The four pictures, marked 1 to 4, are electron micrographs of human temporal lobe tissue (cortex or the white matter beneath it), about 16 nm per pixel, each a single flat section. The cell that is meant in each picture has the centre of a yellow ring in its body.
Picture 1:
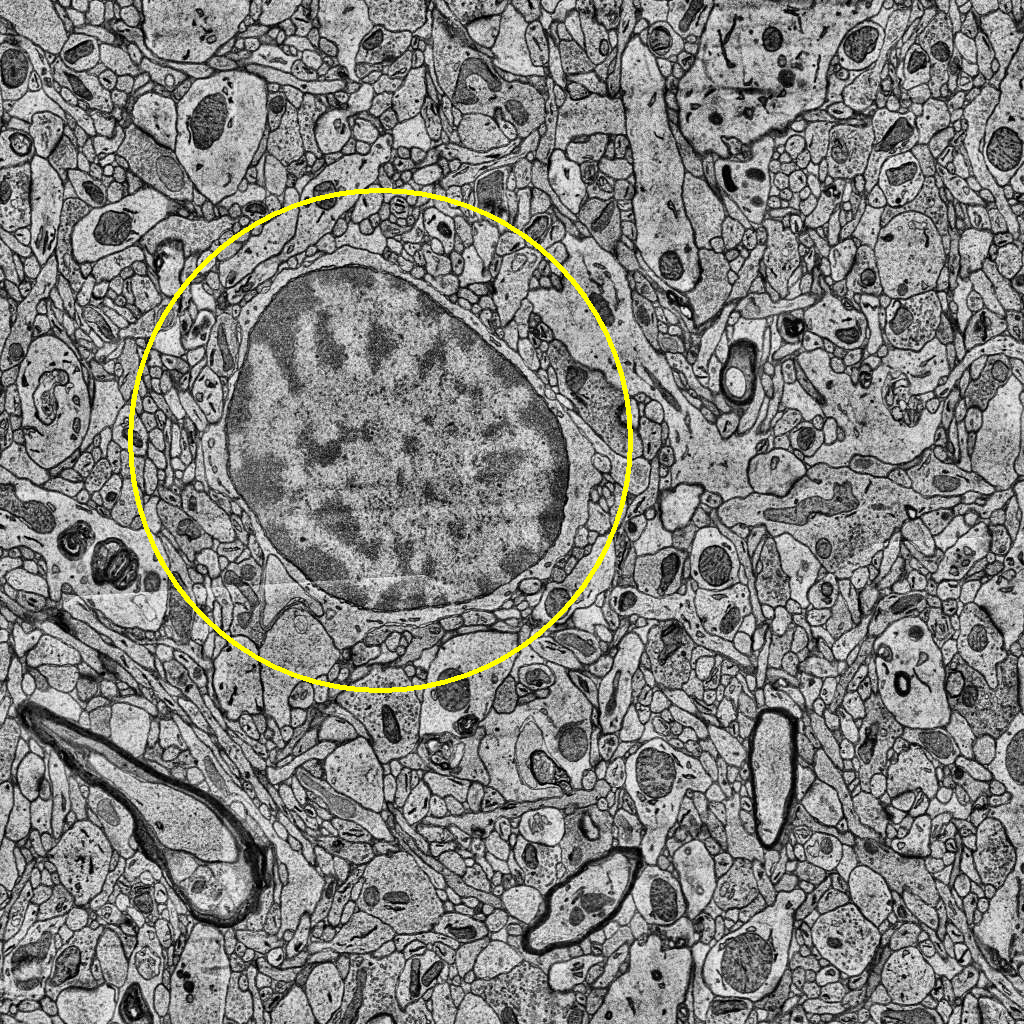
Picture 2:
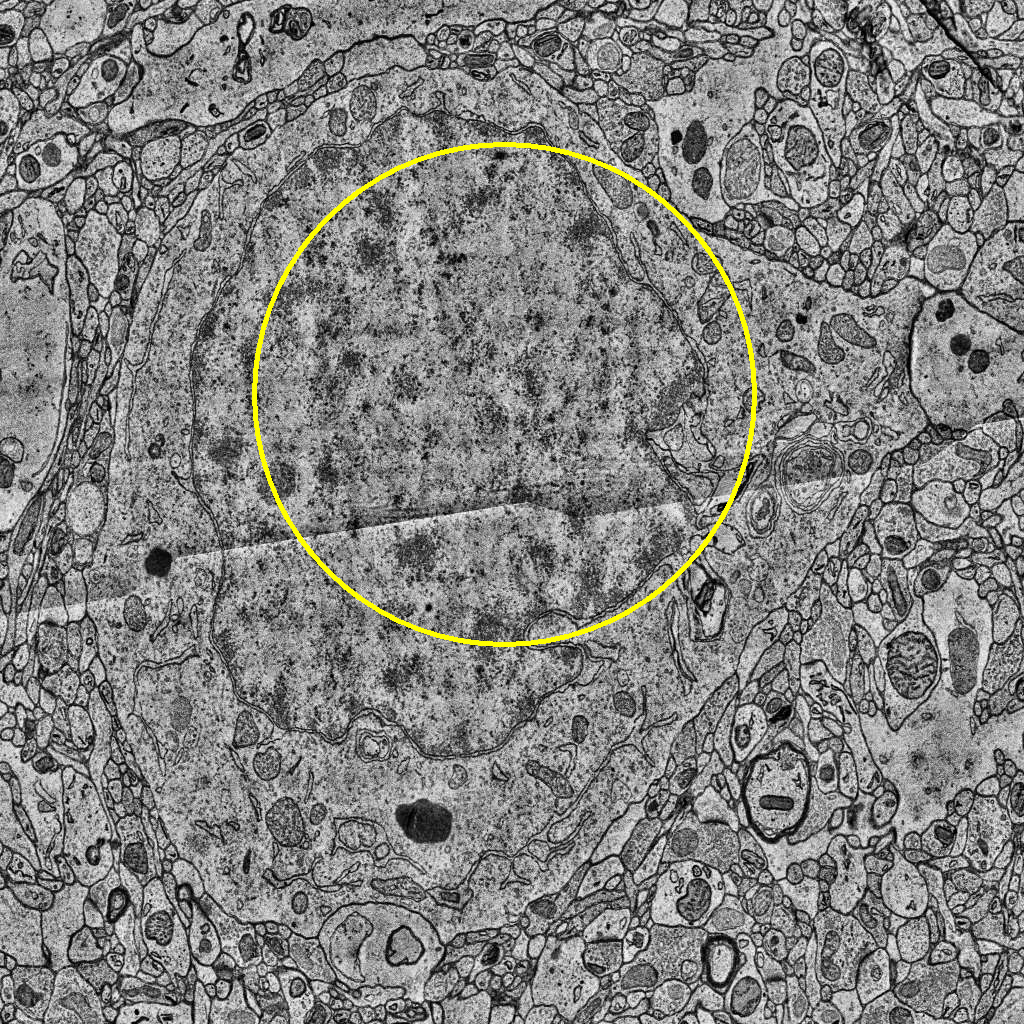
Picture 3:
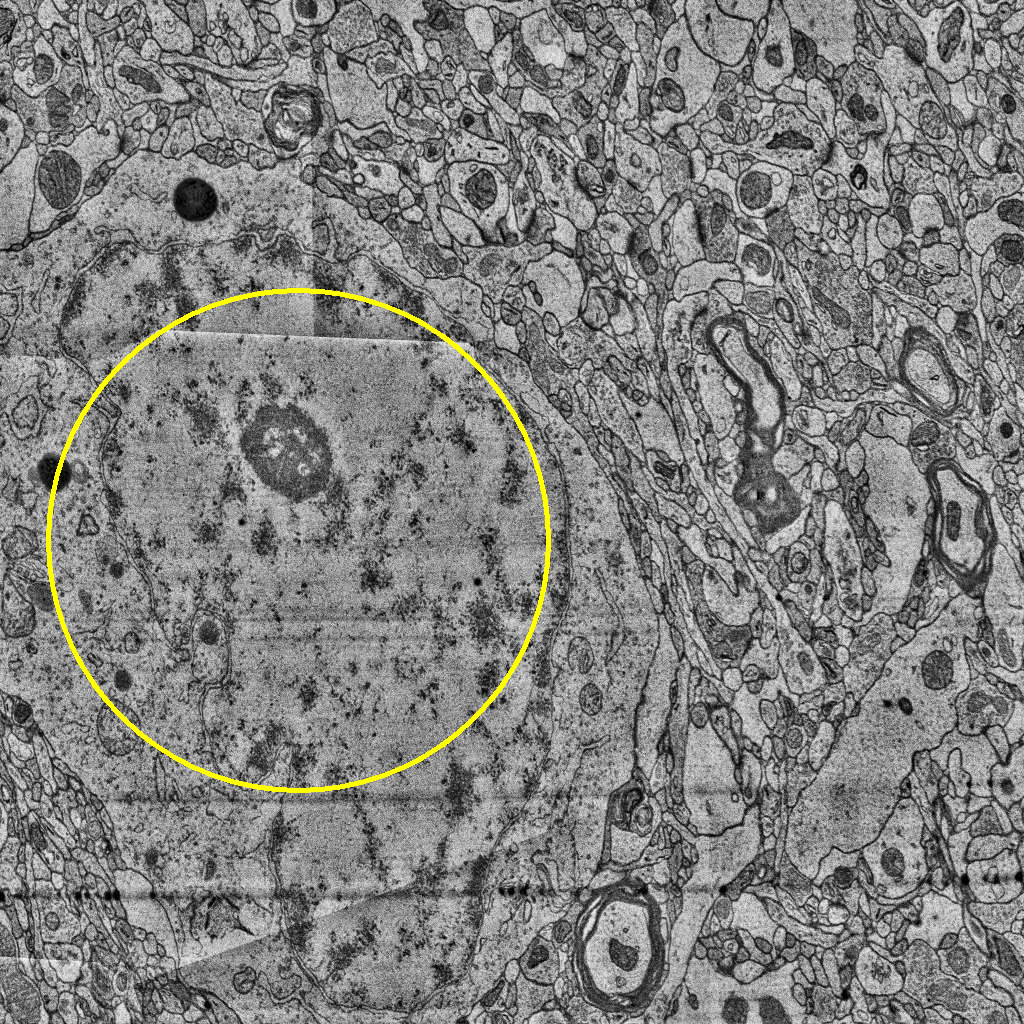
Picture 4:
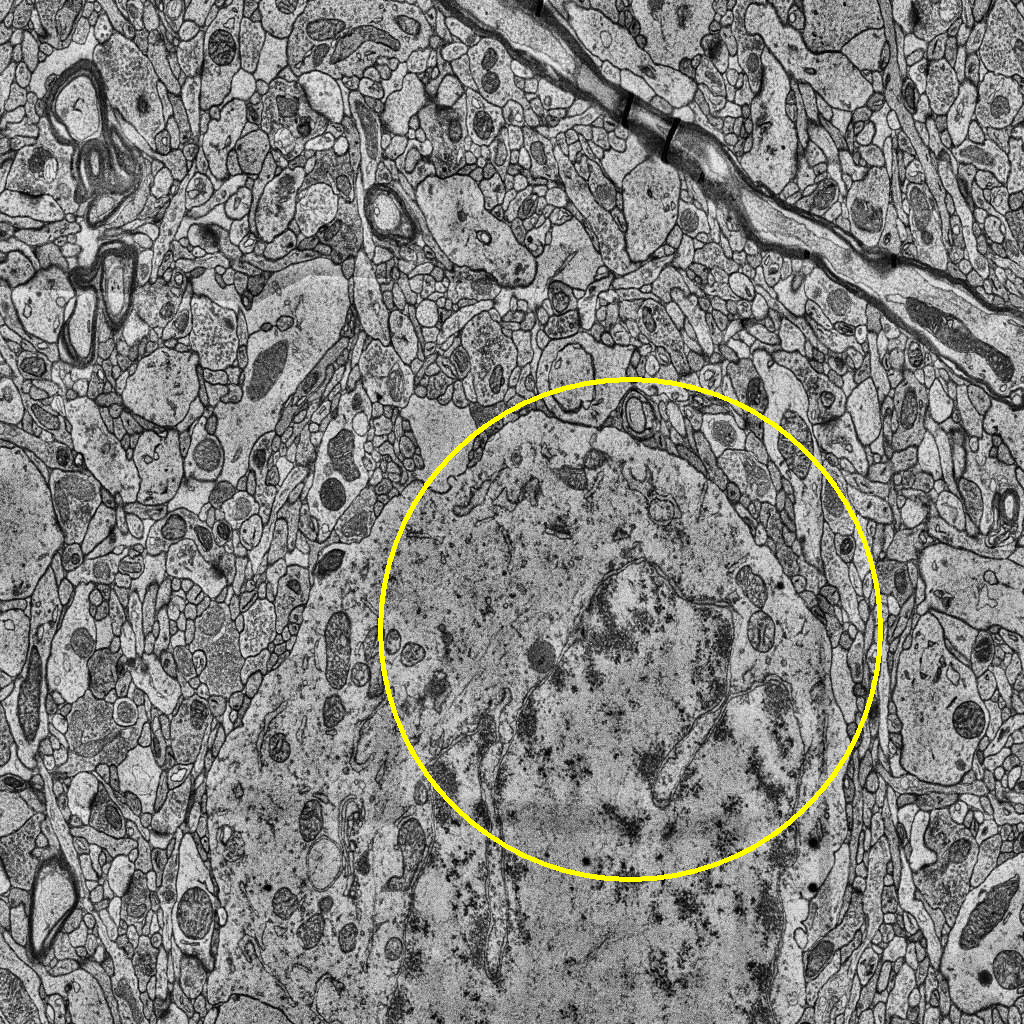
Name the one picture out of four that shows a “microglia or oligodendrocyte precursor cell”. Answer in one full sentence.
The picture with the “microglia or oligodendrocyte precursor cell” is 1.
